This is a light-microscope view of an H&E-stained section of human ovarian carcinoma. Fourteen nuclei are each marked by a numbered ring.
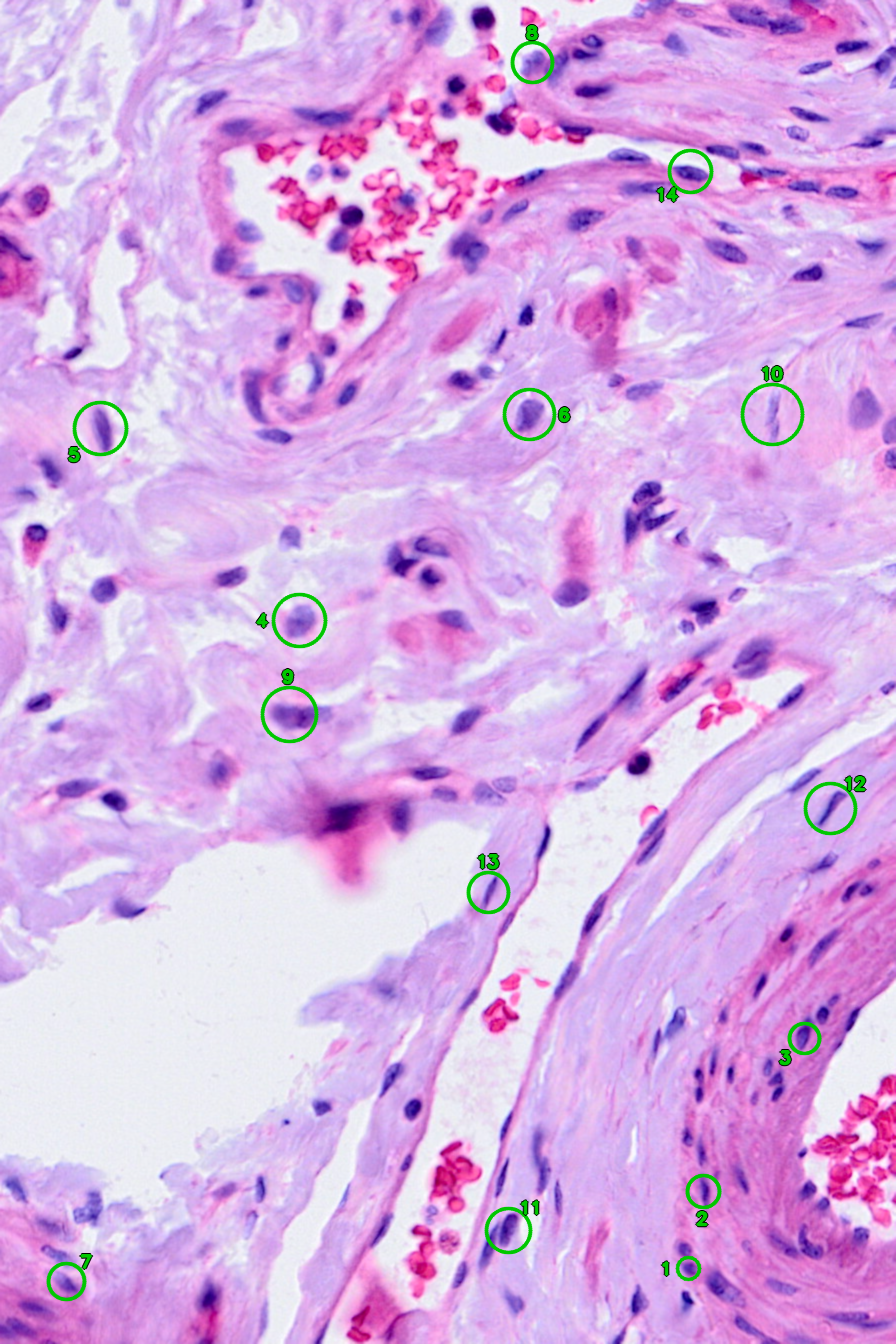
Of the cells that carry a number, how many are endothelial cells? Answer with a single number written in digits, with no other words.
2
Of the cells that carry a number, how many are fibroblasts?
8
